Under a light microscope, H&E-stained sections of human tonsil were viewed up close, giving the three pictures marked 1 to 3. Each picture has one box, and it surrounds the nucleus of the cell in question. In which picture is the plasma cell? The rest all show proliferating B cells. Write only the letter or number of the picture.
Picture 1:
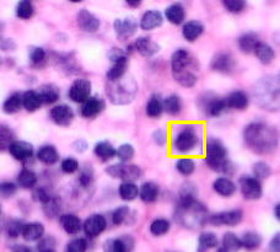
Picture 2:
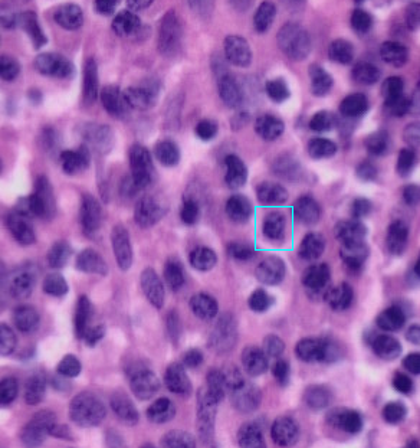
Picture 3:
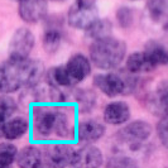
2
